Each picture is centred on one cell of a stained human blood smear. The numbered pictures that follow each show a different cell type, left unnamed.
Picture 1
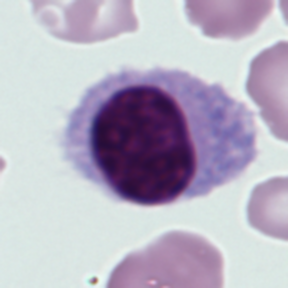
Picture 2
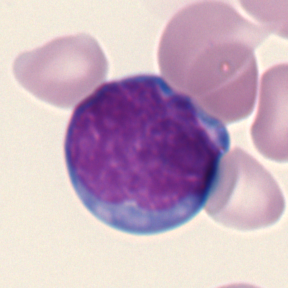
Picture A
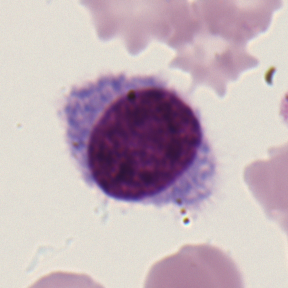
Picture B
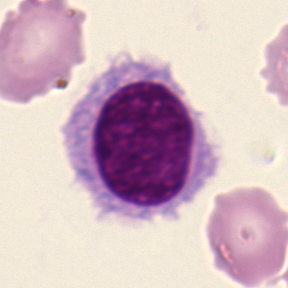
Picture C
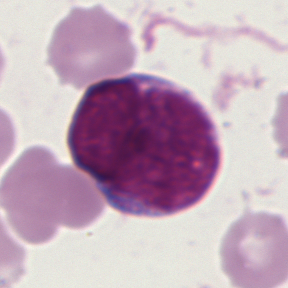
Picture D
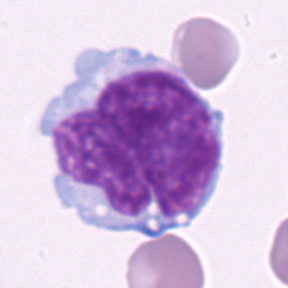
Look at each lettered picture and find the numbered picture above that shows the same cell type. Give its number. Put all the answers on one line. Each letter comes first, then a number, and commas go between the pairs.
A 1, B 1, C 2, D 2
